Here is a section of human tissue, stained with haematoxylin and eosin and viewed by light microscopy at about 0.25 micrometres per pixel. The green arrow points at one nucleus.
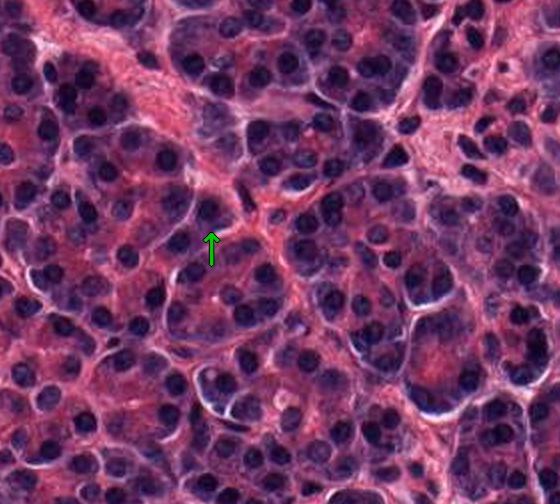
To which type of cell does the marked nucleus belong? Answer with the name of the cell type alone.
pancreatic acinar cell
